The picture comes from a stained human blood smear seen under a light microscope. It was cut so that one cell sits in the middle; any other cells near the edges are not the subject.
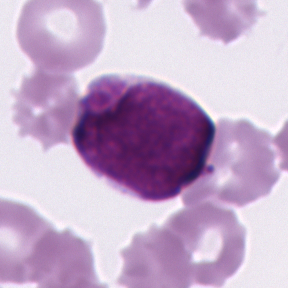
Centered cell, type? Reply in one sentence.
The cell nearest the centre of this crop is a myeloblast.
